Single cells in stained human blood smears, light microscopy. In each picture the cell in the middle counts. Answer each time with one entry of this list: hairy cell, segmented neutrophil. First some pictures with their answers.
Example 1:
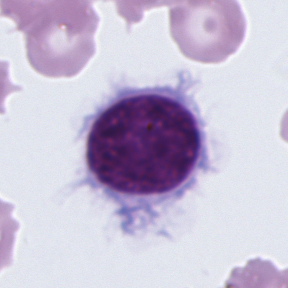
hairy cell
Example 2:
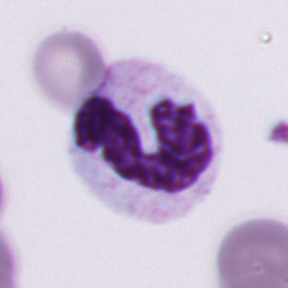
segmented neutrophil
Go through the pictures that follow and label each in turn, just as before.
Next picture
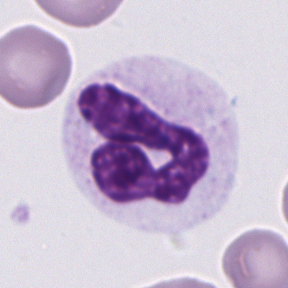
segmented neutrophil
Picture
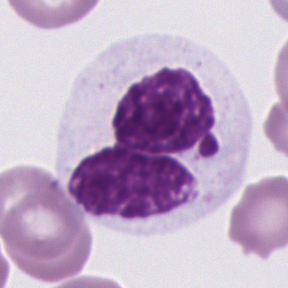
segmented neutrophil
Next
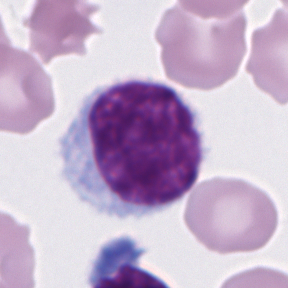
hairy cell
